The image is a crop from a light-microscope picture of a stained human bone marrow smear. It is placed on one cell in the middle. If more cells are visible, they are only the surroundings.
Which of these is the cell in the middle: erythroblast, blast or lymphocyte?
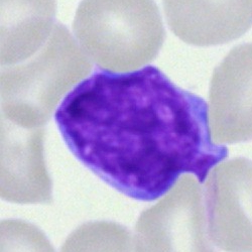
blast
